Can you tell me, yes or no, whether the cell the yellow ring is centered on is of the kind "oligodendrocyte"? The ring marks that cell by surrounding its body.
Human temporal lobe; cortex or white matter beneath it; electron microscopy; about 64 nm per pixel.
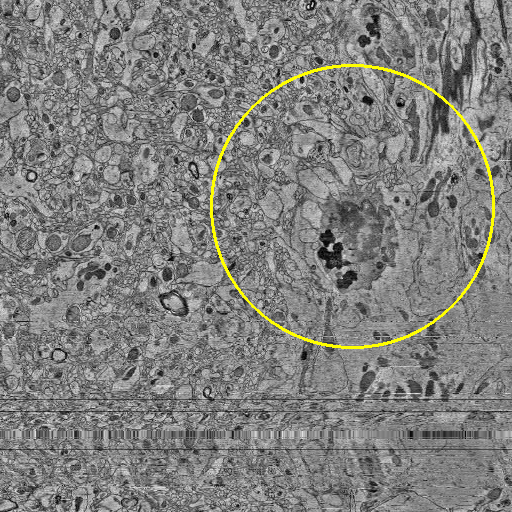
yes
